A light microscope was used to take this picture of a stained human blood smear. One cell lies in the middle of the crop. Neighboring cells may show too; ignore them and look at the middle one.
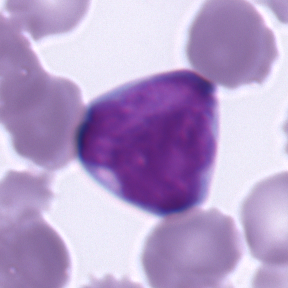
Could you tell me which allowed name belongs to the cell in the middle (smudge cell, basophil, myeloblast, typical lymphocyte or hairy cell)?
myeloblast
